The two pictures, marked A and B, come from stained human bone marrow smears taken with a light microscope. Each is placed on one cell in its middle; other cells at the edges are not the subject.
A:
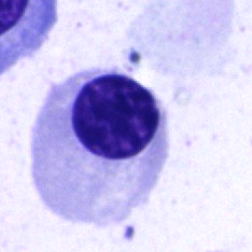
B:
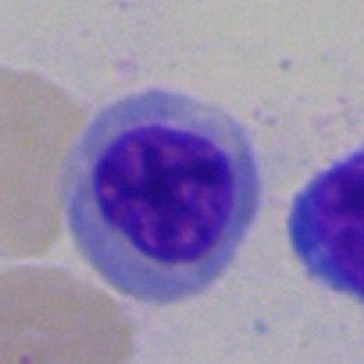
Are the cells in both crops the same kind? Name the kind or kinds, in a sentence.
Yes, the cells that the two crops centre on are erythroblasts.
